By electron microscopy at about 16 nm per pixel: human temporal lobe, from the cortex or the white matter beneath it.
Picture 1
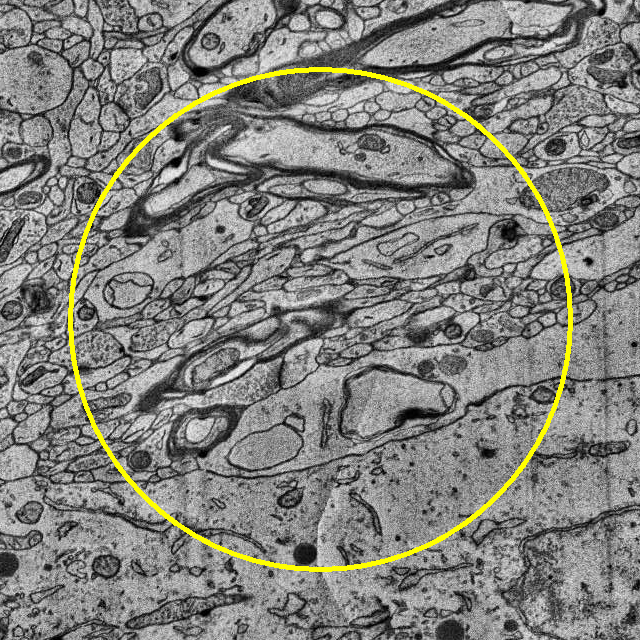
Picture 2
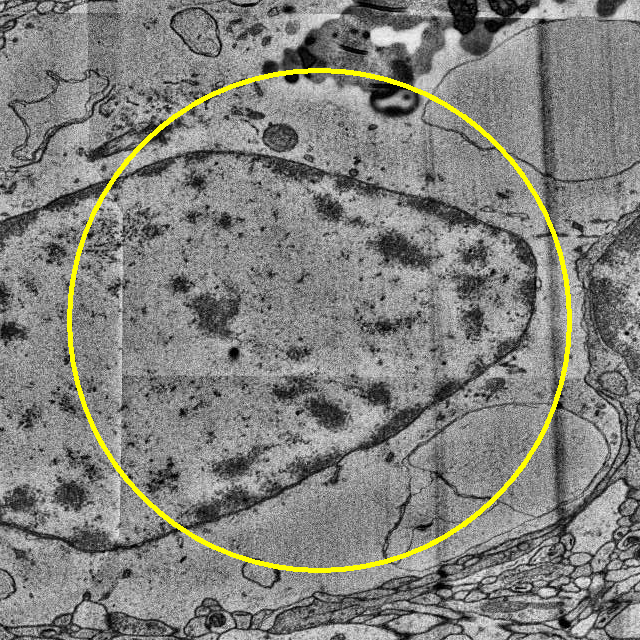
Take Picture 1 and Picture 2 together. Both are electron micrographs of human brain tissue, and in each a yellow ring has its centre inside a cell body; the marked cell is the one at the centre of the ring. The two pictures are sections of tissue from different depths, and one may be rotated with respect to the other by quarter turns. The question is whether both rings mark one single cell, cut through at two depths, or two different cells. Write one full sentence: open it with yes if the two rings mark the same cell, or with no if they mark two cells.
No, the two marked cells are different cells.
